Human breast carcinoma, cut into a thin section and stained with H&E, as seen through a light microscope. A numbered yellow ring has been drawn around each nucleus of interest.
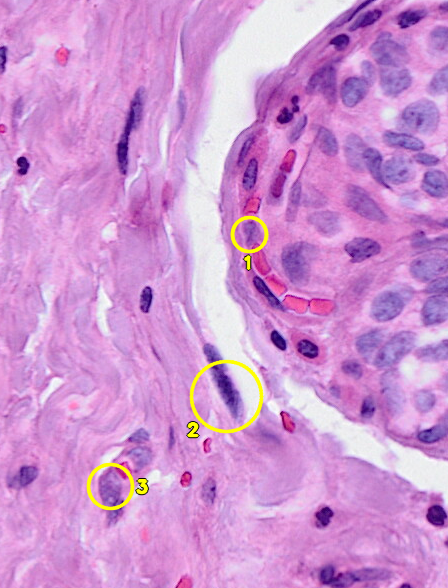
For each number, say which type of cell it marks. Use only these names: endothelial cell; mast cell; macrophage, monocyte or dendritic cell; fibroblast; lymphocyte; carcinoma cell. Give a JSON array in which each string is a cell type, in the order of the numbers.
["endothelial cell", "fibroblast", "endothelial cell"]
